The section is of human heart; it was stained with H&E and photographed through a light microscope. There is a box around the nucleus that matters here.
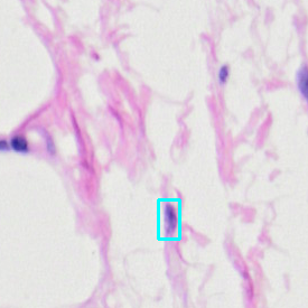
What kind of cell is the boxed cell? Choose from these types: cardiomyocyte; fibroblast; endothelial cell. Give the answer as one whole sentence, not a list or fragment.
The expected answer is simply that the boxed cell is a fibroblast.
